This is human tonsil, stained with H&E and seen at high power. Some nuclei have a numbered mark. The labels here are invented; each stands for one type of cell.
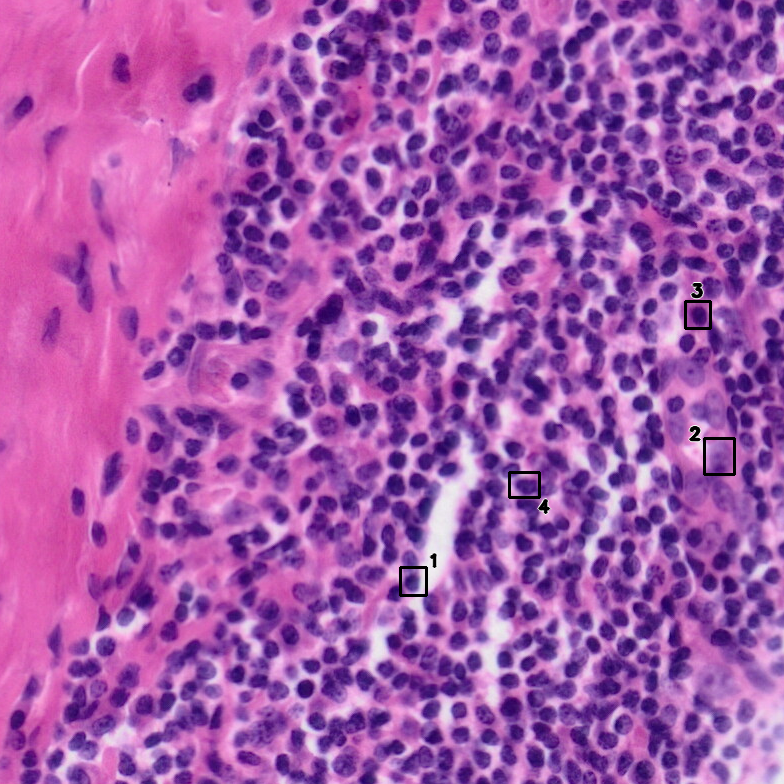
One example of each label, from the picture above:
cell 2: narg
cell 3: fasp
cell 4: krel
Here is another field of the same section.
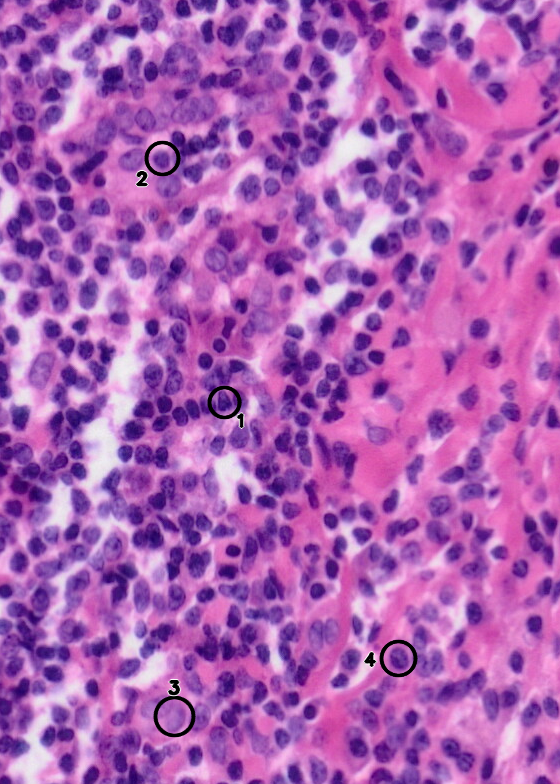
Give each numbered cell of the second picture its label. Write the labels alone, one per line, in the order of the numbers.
krel
narg
narg
fasp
